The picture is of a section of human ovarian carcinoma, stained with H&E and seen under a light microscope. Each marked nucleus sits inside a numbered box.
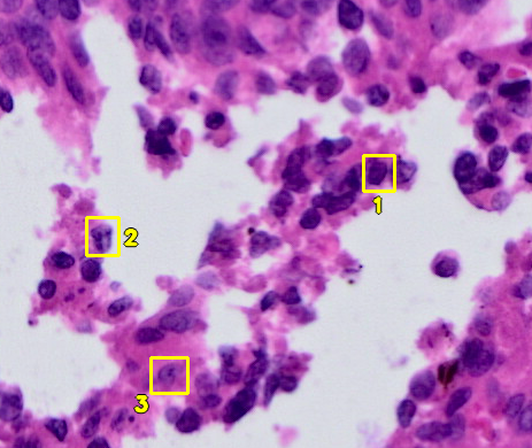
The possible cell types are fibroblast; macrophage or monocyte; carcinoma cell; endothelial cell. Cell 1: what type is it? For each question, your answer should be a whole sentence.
That cell with number 1 is a carcinoma cell.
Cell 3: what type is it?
The cell that is numbered 3 is a macrophage or monocyte.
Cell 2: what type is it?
The cell tagged with 2 in this tissue section is a macrophage or monocyte.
